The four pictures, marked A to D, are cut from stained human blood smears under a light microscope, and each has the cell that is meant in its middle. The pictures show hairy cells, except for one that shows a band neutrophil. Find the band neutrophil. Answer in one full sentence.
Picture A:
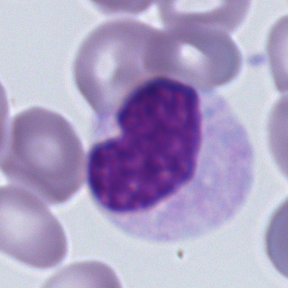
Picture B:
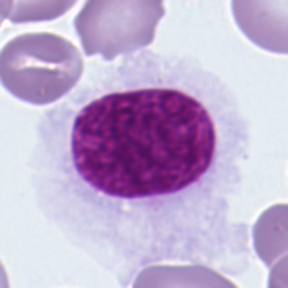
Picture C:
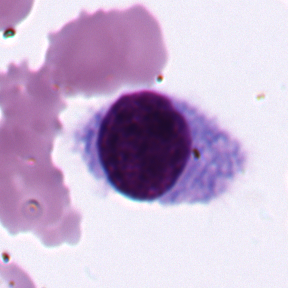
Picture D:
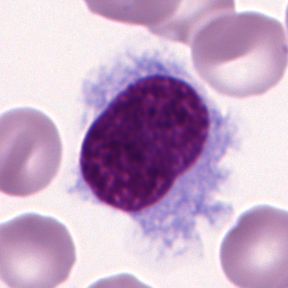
It is picture A that shows the band neutrophil.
